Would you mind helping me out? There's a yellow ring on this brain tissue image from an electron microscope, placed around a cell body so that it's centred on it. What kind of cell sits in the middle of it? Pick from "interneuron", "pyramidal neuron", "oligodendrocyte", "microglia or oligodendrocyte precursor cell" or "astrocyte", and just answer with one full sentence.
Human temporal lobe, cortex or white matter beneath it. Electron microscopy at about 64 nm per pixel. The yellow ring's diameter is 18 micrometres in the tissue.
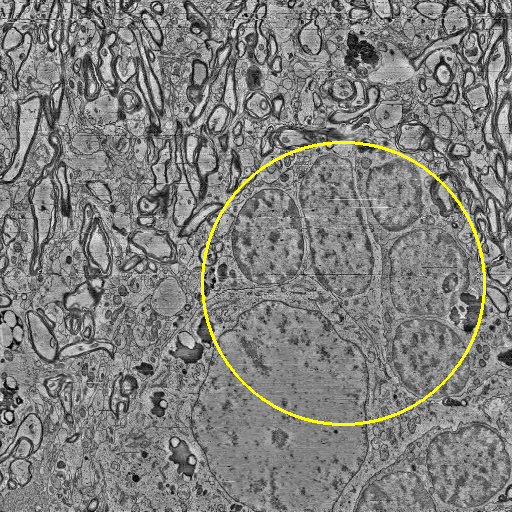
What sits in the middle of that yellow ring is a microglial cell or oligodendrocyte precursor cell, from your choices.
